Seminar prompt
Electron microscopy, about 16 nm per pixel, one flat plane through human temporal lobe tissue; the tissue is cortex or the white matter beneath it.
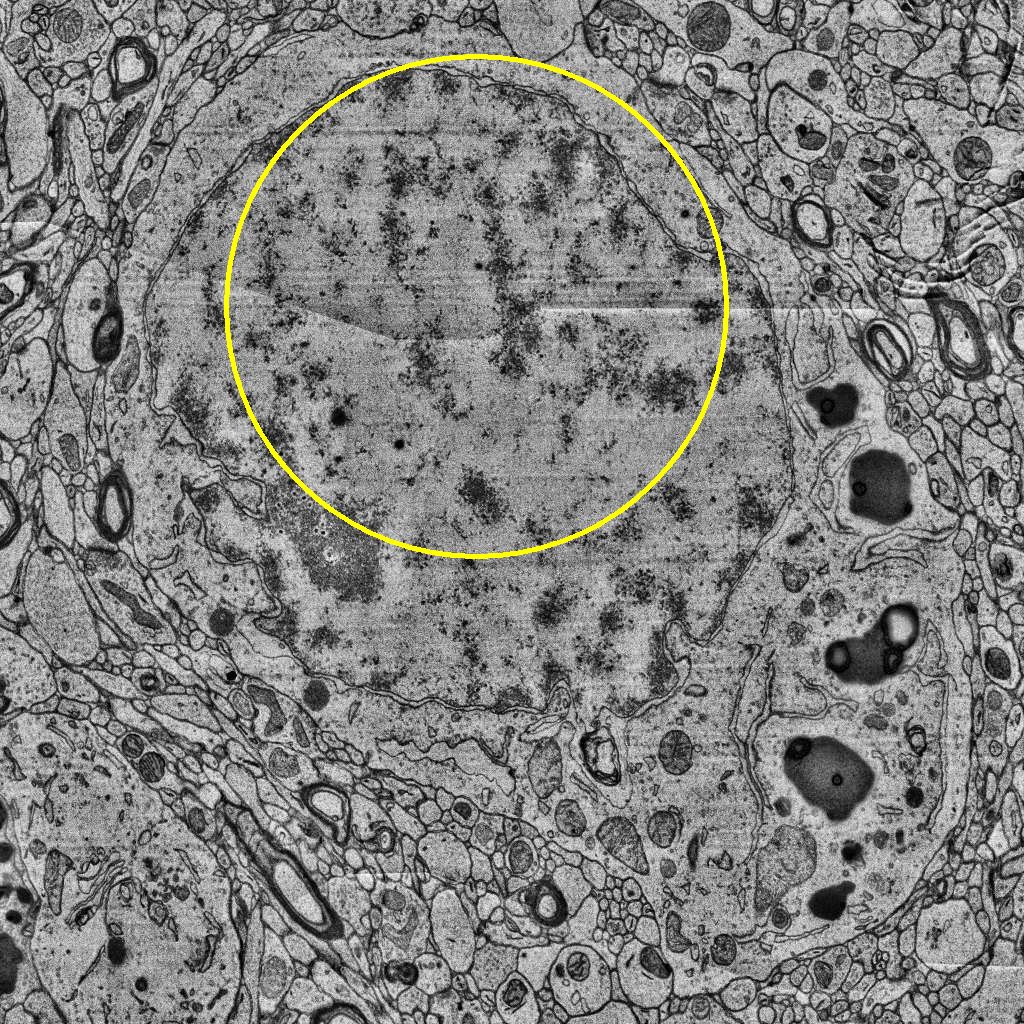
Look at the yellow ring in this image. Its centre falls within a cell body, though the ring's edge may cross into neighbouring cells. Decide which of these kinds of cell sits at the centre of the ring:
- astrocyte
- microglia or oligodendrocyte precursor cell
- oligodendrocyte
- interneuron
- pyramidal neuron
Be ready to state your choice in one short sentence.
The kind of cell at the ring's centre is an interneuron.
